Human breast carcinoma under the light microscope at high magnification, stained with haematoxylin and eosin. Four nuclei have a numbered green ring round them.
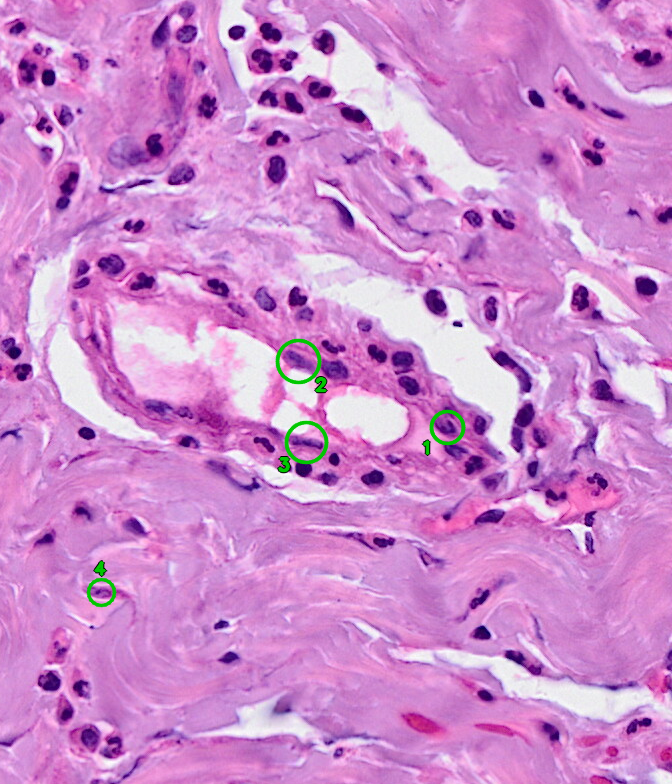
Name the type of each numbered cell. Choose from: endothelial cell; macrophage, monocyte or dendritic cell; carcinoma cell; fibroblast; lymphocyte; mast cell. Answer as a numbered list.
1. endothelial cell
2. endothelial cell
3. endothelial cell
4. fibroblast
